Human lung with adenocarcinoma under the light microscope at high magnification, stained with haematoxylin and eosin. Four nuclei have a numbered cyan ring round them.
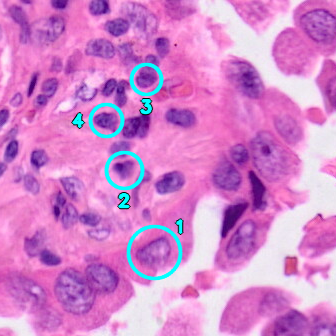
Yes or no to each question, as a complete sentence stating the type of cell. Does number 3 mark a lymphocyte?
Yes, regarding cell number 3, it is a lymphocyte.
